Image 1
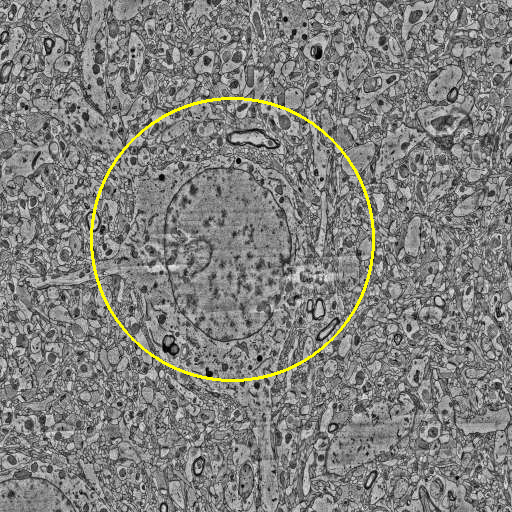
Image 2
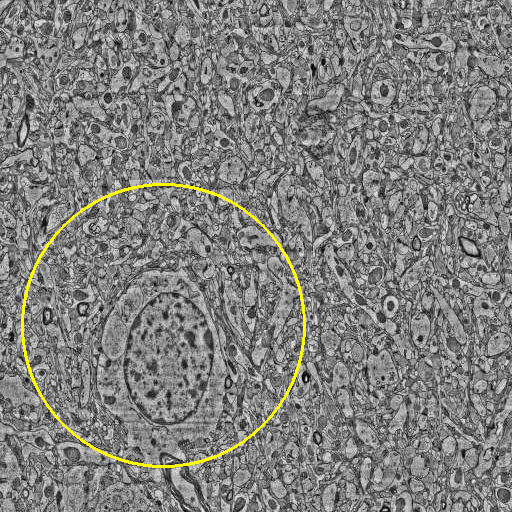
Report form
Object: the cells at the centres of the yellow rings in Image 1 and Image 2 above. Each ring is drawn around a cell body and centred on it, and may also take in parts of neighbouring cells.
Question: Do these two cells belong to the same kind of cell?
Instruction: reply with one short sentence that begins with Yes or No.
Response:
No, they belong to two kinds of cell.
